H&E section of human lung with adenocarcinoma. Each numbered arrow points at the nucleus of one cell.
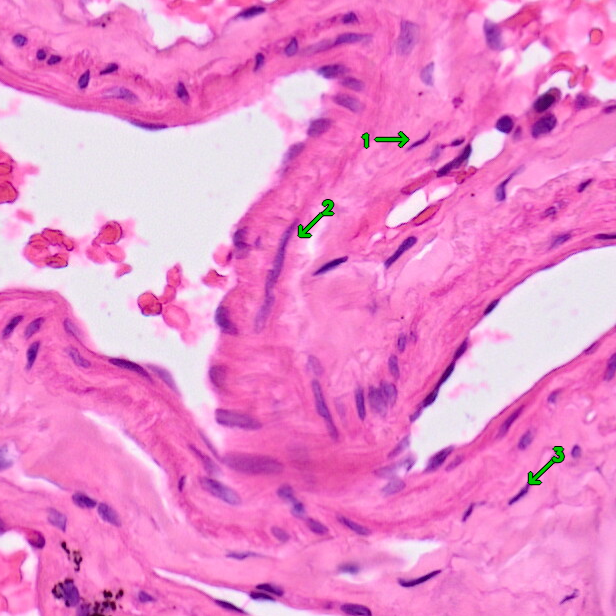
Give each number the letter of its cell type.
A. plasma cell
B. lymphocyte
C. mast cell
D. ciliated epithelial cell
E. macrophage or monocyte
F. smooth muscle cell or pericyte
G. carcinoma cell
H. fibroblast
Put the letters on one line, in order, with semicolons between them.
H; F; H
